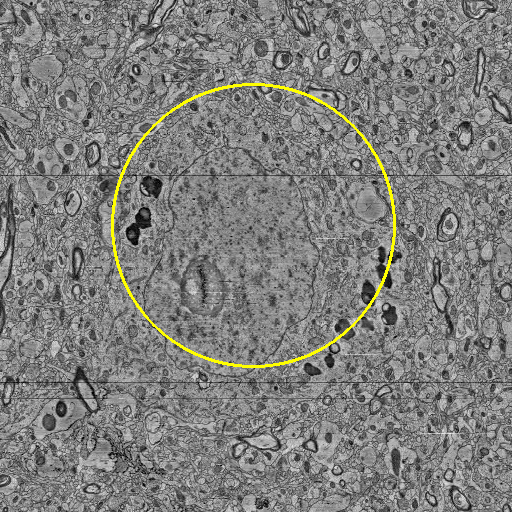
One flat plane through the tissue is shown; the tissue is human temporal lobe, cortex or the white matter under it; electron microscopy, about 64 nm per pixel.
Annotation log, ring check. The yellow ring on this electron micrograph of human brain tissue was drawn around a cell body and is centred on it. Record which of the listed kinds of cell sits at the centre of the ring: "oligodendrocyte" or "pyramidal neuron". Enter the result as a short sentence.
The cell at the centre of the ring is a pyramidal neuron.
